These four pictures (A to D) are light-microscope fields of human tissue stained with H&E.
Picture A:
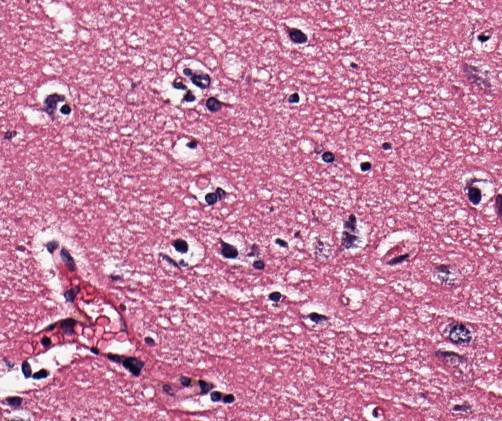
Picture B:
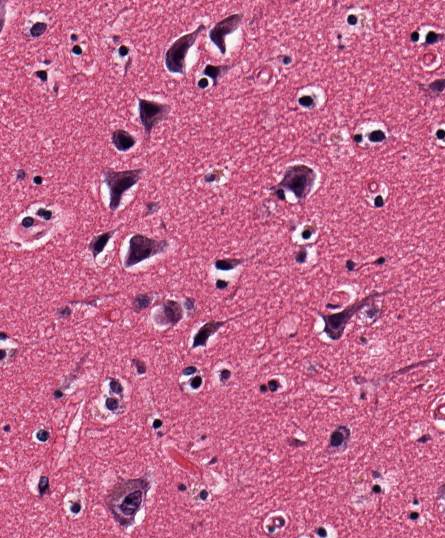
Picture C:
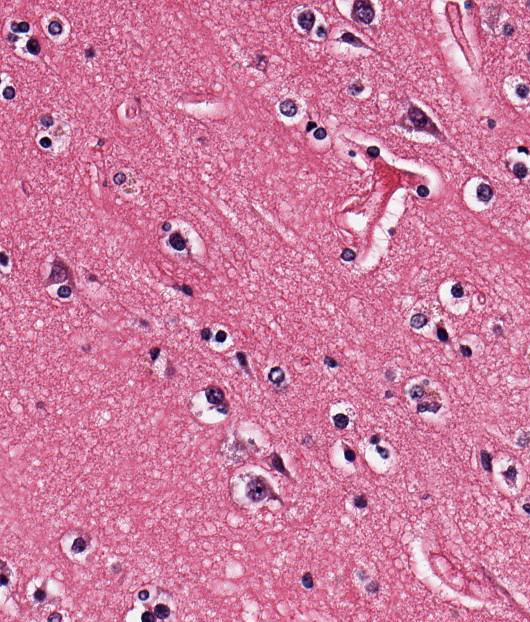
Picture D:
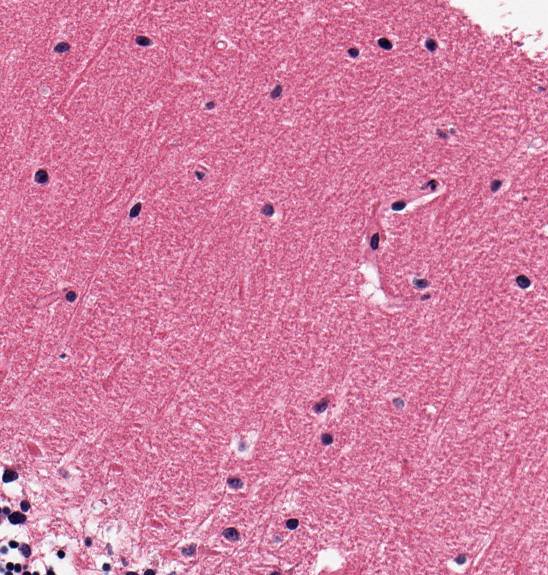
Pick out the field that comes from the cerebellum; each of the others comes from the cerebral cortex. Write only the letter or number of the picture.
D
